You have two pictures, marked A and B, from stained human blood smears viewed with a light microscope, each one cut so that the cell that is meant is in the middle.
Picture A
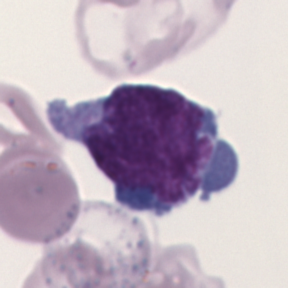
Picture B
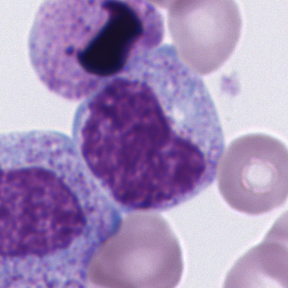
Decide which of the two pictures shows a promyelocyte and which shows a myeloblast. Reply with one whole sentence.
It is picture A that shows a myeloblast, and picture B that shows a promyelocyte.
